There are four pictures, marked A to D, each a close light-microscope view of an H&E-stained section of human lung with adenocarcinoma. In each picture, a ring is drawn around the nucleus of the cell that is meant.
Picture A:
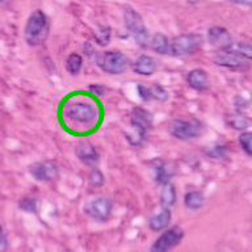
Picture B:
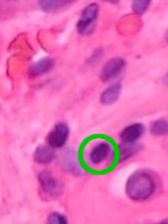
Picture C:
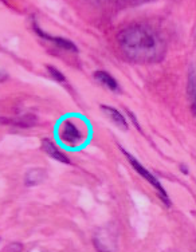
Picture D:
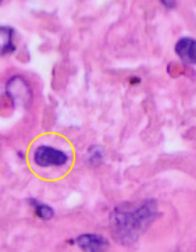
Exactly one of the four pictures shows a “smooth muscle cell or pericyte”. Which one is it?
A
